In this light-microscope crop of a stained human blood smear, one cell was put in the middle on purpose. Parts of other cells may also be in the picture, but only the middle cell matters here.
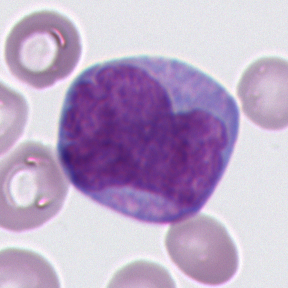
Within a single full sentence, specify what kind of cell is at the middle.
This crop's central cell is an atypical promyelocyte.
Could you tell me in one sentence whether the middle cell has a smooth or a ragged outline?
In short, the margin is smooth with no projections at all.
